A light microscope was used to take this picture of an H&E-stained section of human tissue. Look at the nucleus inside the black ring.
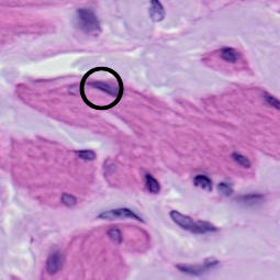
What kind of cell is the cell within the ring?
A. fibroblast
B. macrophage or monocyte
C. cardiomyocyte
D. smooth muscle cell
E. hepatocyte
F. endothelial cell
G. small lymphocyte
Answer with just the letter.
D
